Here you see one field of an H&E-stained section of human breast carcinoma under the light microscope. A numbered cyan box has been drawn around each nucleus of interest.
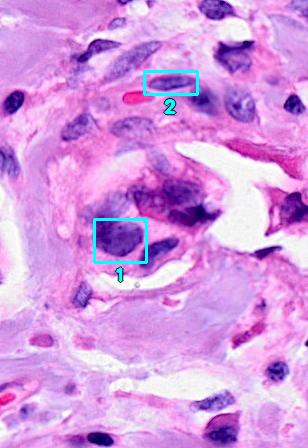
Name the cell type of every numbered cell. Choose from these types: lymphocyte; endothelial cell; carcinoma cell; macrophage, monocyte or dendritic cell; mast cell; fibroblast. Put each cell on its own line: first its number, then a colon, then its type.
1: carcinoma cell
2: endothelial cell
